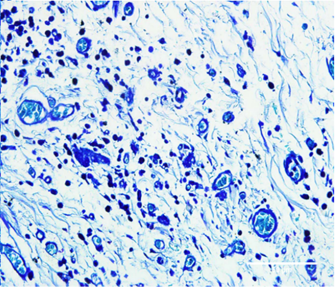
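The background is a loose, pale, wispy matrix rather than a compact bundle of fibres. Many small, dark blue dot-like profiles lie scattered through it. A few larger round profiles with blue rims stand out, some holding greenish content. The tissue is much less densely packed than a compact nerve bundle.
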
